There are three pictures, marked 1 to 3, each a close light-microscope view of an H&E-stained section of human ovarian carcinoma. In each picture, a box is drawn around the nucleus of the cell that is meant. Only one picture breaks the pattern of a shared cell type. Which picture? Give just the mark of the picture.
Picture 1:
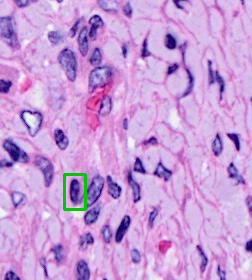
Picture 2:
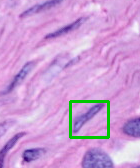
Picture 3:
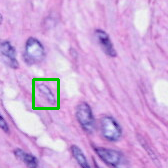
1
